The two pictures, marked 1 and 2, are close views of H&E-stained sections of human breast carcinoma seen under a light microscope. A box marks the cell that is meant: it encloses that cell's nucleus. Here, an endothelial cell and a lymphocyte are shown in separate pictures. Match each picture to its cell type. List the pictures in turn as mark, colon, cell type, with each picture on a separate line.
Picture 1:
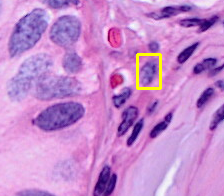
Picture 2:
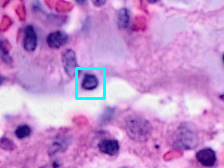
1: endothelial cell
2: lymphocyte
